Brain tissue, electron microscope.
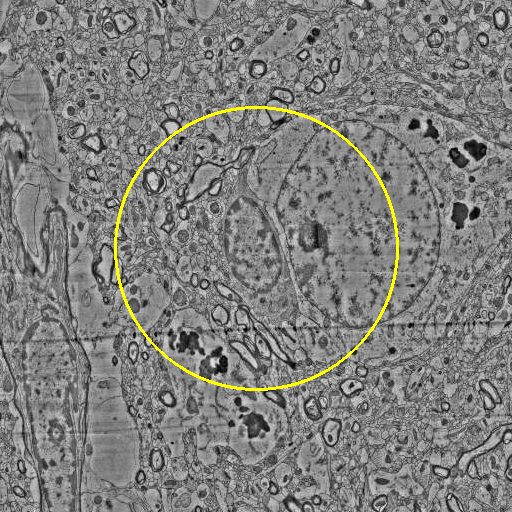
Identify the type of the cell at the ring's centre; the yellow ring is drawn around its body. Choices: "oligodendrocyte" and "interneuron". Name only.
oligodendrocyte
